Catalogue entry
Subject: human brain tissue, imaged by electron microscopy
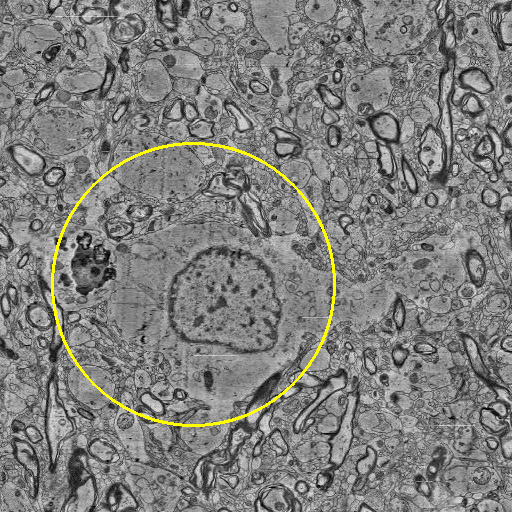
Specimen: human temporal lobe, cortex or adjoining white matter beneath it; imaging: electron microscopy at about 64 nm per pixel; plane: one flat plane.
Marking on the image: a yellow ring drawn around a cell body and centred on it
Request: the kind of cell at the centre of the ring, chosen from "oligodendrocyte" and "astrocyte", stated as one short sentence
The ring has an astrocyte at its centre.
